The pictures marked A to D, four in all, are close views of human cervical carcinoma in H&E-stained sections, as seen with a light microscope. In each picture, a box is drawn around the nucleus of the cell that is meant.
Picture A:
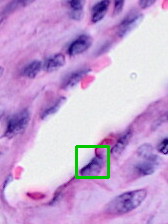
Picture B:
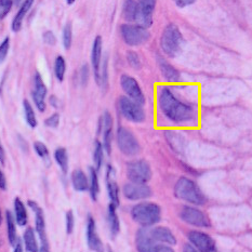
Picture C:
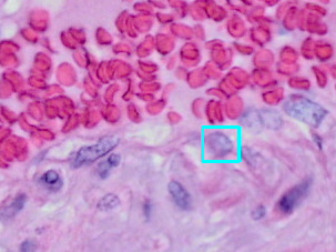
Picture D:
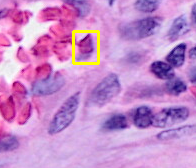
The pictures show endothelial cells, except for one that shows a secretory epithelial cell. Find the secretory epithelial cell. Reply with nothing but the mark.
B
